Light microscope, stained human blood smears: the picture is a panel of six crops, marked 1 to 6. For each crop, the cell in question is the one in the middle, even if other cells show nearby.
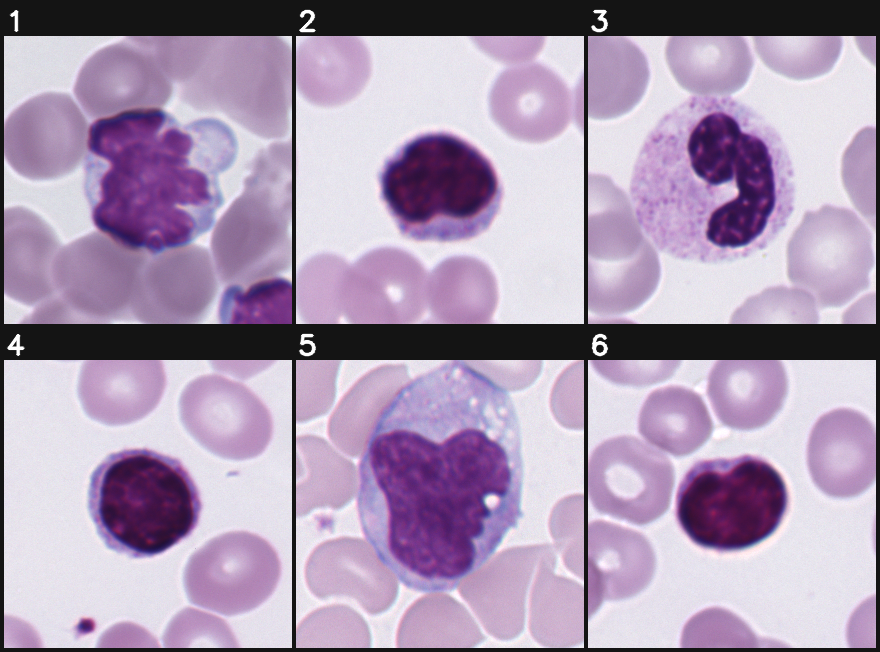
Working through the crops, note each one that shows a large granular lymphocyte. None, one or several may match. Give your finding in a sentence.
Crops 1, 2, 4 and 6 have large granular lymphocytes sitting at their centres.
